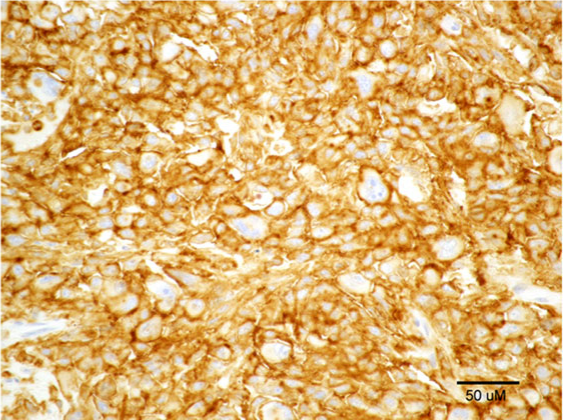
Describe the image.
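Nearly every cell is outlined by a strong brown rim along its border, giving a honeycomb-like pattern across the field. The nuclei remain pale blue in the centres of the cells, and the cells vary considerably in size.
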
